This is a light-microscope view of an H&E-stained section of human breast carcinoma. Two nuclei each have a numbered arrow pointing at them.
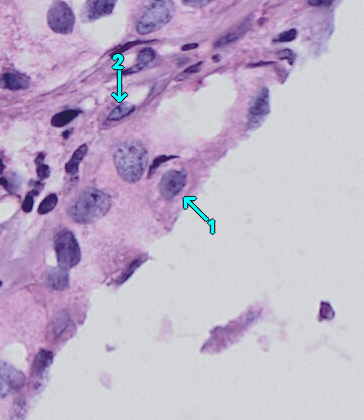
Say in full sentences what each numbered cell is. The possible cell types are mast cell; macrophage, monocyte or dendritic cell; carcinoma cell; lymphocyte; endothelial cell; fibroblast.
Cell 1 is a carcinoma cell and cell 2 is an endothelial cell.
